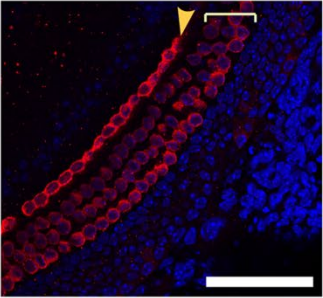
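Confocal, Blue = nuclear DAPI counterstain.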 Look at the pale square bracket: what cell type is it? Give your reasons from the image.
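The bracket spans three parallel rows of red-rimmed round cells. These rows lie beside a single separate row of similar cells. The answer: outer hair cells.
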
